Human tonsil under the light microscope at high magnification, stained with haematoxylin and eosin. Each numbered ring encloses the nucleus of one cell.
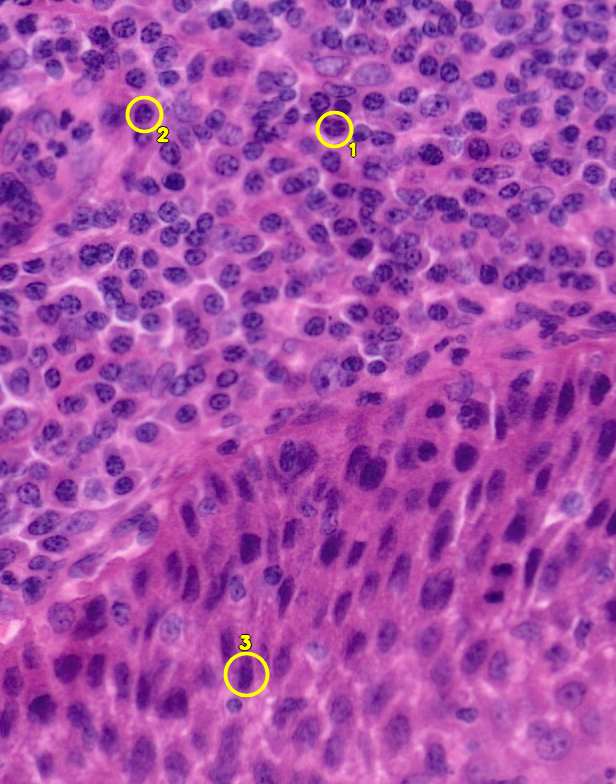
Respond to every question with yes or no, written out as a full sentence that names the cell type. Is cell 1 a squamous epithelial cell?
No, number 1 points to a plasma cell and not to a squamous epithelial cell.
